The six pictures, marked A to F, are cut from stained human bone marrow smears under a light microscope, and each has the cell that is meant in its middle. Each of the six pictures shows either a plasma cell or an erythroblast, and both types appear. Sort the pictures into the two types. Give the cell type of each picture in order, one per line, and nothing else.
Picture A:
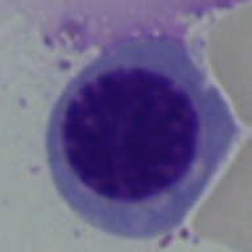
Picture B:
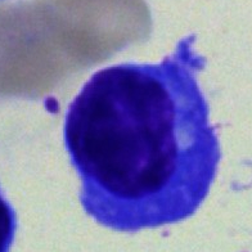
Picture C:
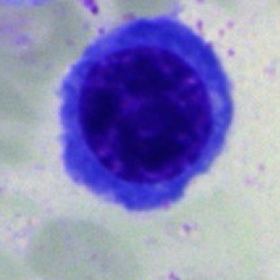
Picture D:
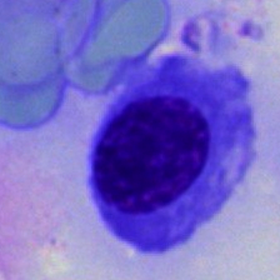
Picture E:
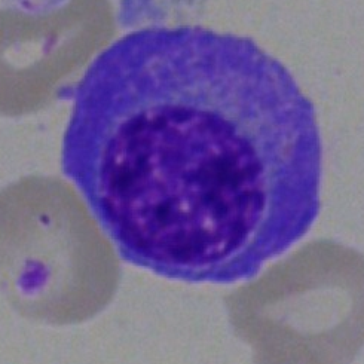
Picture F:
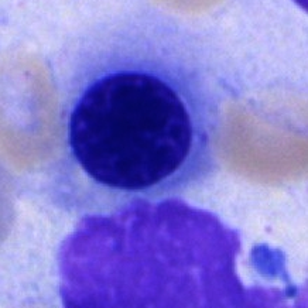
erythroblast
plasma cell
erythroblast
erythroblast
plasma cell
erythroblast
